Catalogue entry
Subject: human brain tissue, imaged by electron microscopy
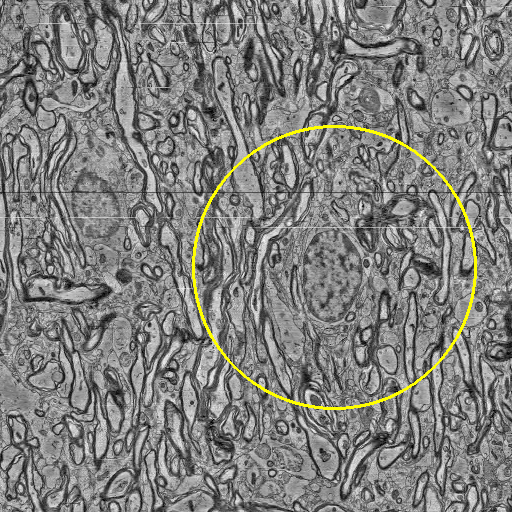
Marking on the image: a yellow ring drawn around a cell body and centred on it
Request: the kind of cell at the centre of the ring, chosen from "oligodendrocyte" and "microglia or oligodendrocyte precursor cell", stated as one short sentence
The ring has a microglial cell or oligodendrocyte precursor cell at its centre.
